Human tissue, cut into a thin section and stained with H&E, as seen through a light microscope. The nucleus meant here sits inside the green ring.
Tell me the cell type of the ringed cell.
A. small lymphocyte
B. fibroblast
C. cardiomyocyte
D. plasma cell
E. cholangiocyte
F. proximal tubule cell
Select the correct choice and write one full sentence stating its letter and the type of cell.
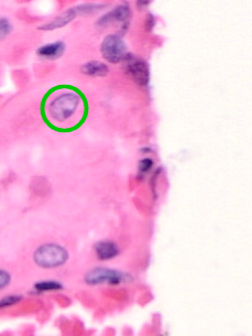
Of the options offered, F is correct, as the ringed cell is a proximal tubule cell.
